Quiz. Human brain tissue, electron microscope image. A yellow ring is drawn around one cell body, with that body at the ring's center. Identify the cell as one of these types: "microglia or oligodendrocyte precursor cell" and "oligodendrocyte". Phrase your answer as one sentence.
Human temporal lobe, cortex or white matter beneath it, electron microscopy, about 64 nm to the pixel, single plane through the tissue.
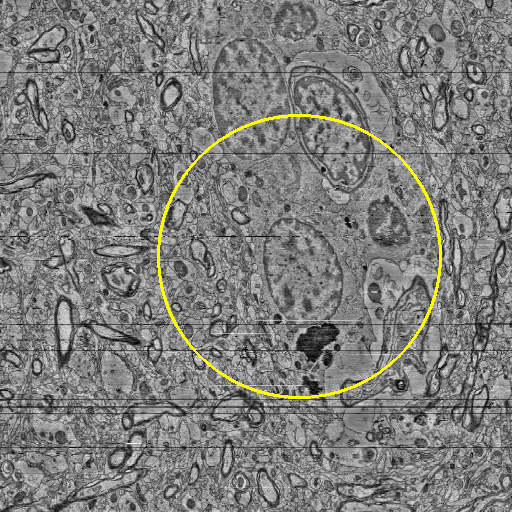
At the center of the ring sits an oligodendrocyte.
